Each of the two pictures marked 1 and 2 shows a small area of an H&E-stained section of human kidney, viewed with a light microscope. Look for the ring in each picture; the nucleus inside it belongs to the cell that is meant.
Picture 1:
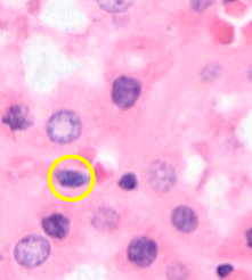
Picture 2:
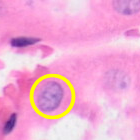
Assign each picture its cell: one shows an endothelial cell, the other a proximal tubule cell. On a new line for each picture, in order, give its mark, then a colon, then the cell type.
1: endothelial cell
2: proximal tubule cell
